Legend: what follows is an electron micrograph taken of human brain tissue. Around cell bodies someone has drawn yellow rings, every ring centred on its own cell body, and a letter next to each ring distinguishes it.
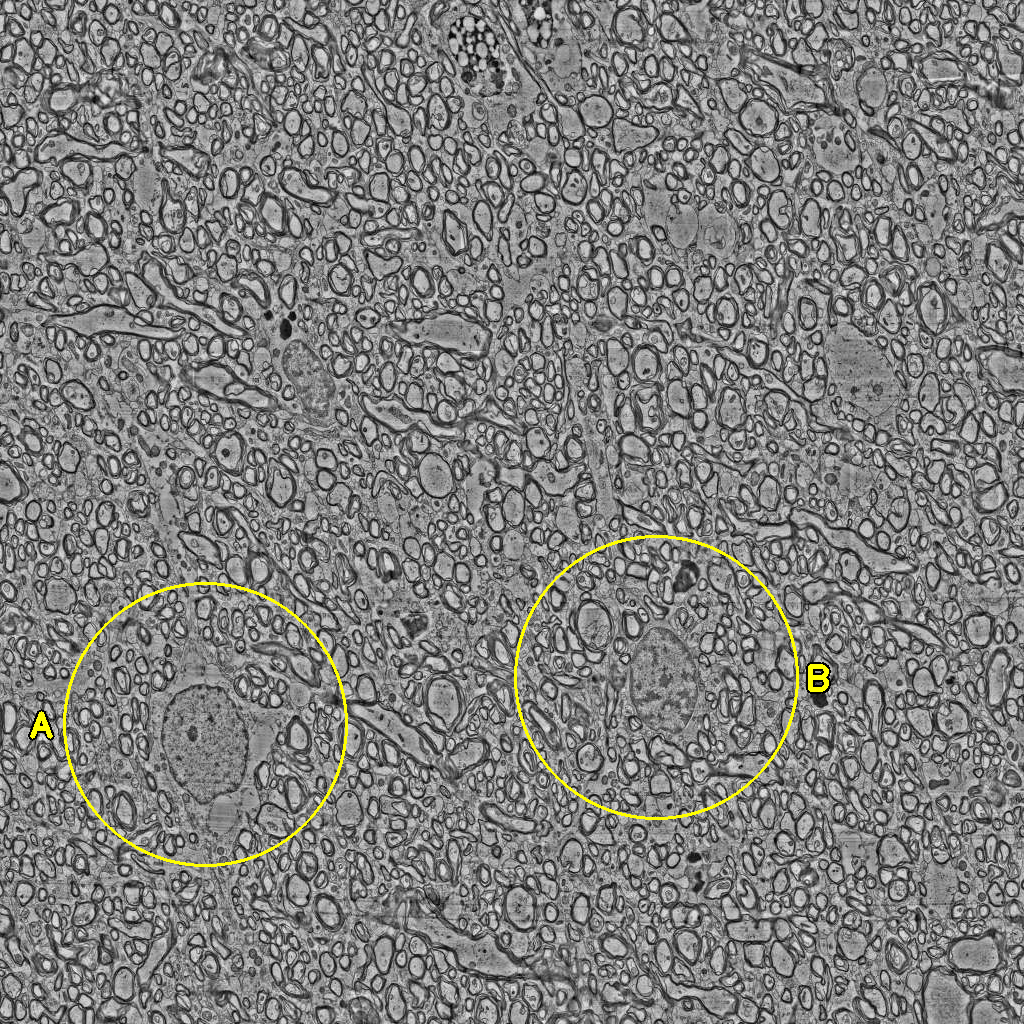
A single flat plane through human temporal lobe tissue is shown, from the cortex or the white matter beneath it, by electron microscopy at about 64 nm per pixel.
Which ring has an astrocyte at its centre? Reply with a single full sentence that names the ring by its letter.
Ring A is the one centred on the cell asked for in the picture.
